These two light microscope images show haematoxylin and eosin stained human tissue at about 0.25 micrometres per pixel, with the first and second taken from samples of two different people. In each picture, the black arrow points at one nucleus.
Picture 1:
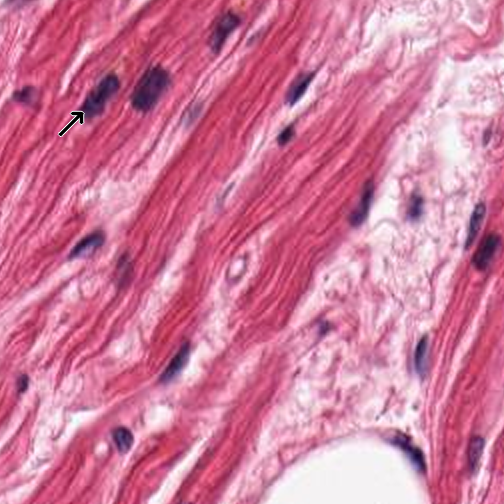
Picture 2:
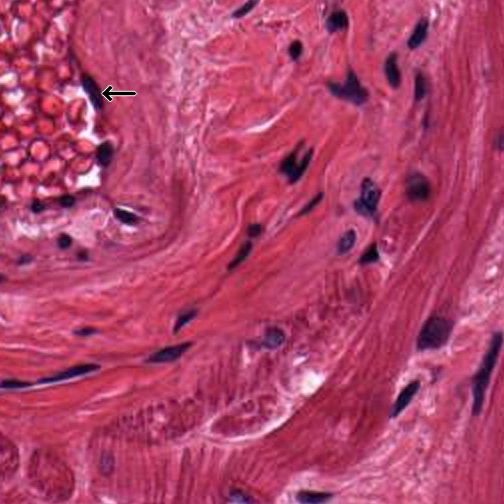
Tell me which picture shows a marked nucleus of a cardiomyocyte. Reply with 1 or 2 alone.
1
